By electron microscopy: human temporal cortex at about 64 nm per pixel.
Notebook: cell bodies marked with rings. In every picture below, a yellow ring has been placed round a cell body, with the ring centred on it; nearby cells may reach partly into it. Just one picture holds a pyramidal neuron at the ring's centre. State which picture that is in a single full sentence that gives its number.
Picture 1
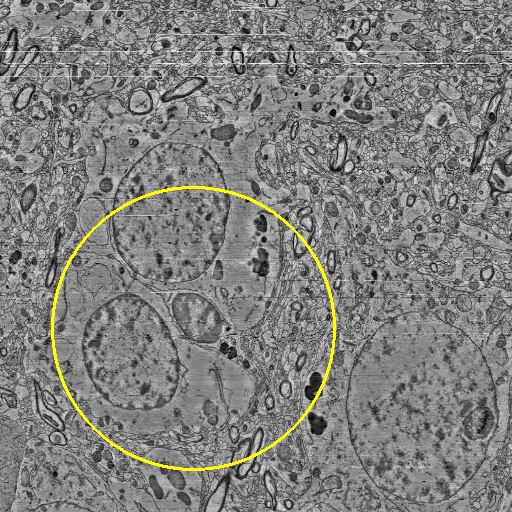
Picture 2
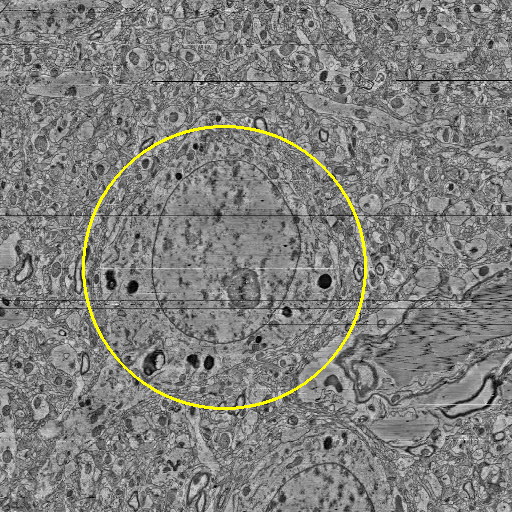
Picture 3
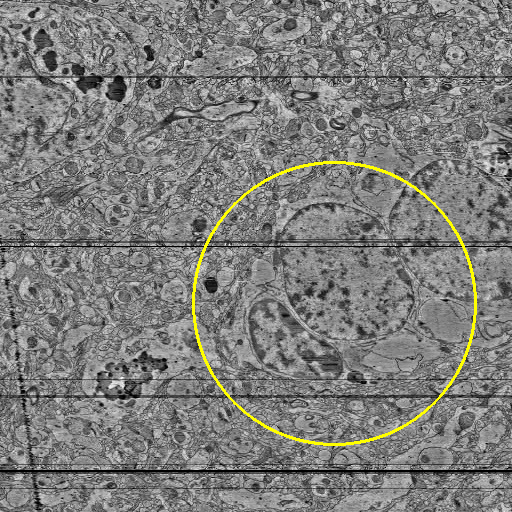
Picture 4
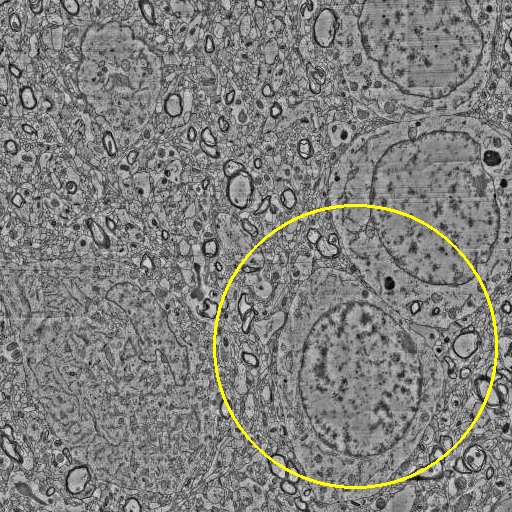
It is picture 2 whose ring has the wanted cell right at its centre.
